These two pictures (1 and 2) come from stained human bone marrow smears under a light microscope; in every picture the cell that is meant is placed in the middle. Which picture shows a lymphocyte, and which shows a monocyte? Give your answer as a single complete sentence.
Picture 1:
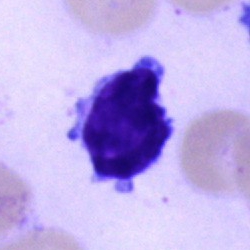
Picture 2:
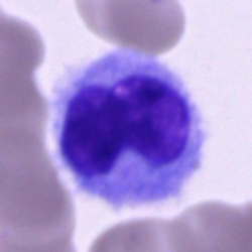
In picture 1 the cell is a lymphocyte; in picture 2, a monocyte.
